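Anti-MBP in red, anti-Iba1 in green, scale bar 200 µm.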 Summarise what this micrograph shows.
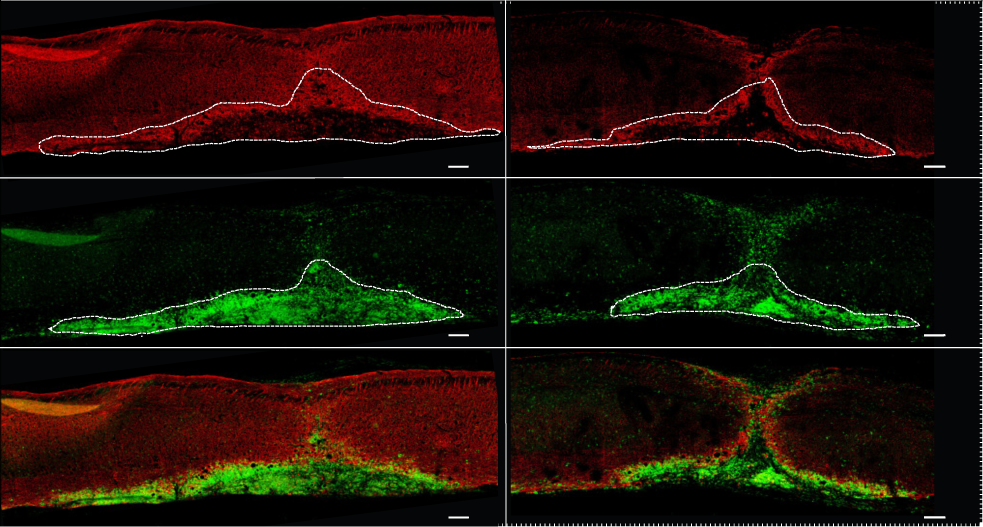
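These are low-magnification longitudinal sections of spinal cord showing a lesion along the lower edge. In the green-stained rows a dense band of green signal fills that same region, outlined again, with fainter green scattered in the tissue above. The merged rows show the green band lying where the red staining is lost, with a narrow vertical streak of altered tissue rising from the lesion toward the upper part of the section.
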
